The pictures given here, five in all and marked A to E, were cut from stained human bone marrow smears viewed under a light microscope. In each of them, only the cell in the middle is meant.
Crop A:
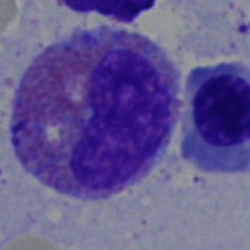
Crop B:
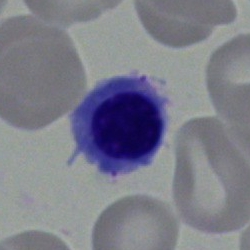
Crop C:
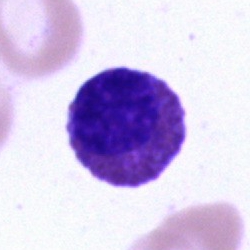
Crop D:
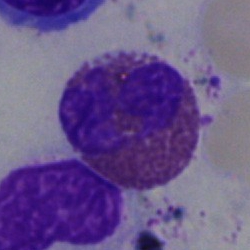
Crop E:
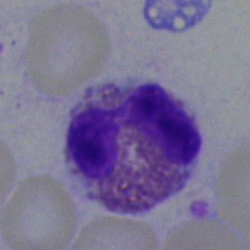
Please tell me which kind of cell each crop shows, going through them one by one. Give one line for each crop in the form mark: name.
A: eosinophil
B: erythroblast
C: eosinophil
D: eosinophil
E: eosinophil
